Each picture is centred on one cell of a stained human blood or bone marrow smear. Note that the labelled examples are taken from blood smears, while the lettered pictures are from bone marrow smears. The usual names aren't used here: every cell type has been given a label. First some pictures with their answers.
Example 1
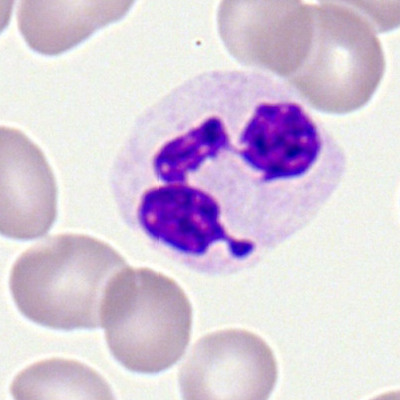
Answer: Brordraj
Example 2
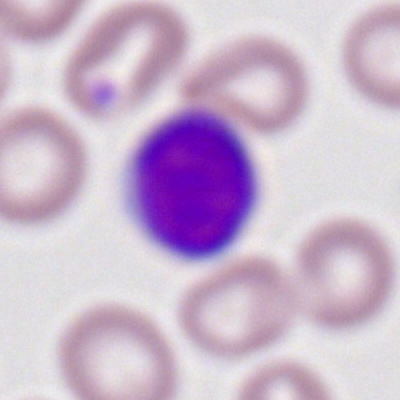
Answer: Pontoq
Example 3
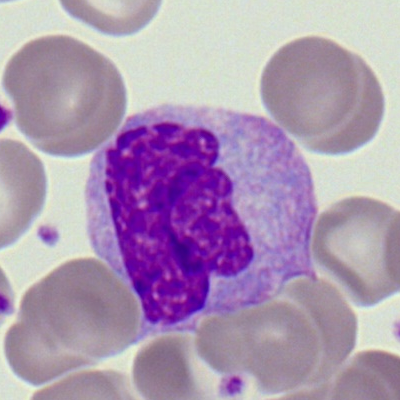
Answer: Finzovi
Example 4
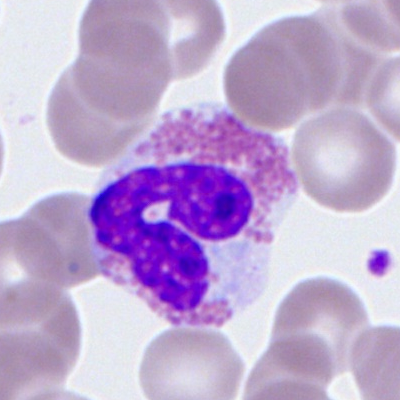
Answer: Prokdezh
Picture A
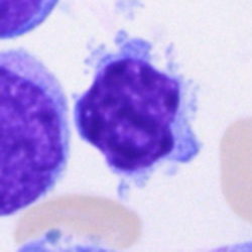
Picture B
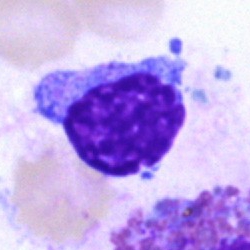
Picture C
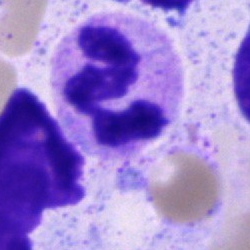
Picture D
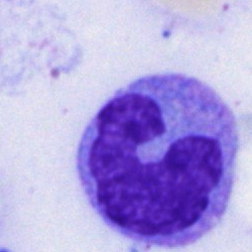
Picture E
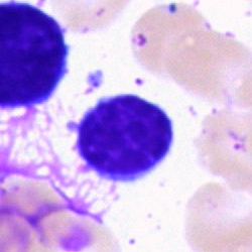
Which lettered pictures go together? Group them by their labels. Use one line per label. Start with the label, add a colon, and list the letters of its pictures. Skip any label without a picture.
Brordraj: C
Pontoq: A, B, E
Finzovi: D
